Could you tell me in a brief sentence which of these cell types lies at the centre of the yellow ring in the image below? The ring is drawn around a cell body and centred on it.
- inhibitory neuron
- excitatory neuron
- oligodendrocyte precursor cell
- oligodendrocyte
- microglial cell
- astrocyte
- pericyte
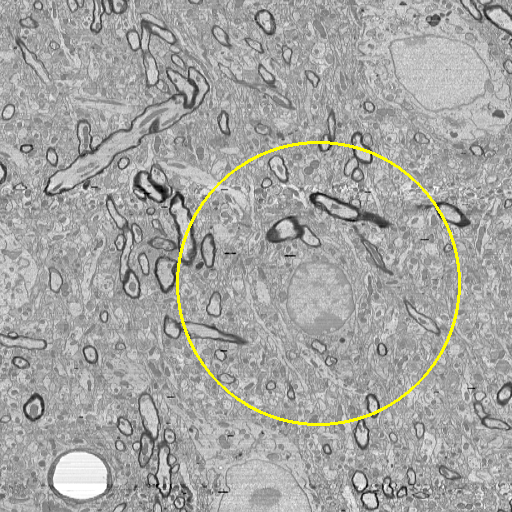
The cell centred in the ring is an oligodendrocyte.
